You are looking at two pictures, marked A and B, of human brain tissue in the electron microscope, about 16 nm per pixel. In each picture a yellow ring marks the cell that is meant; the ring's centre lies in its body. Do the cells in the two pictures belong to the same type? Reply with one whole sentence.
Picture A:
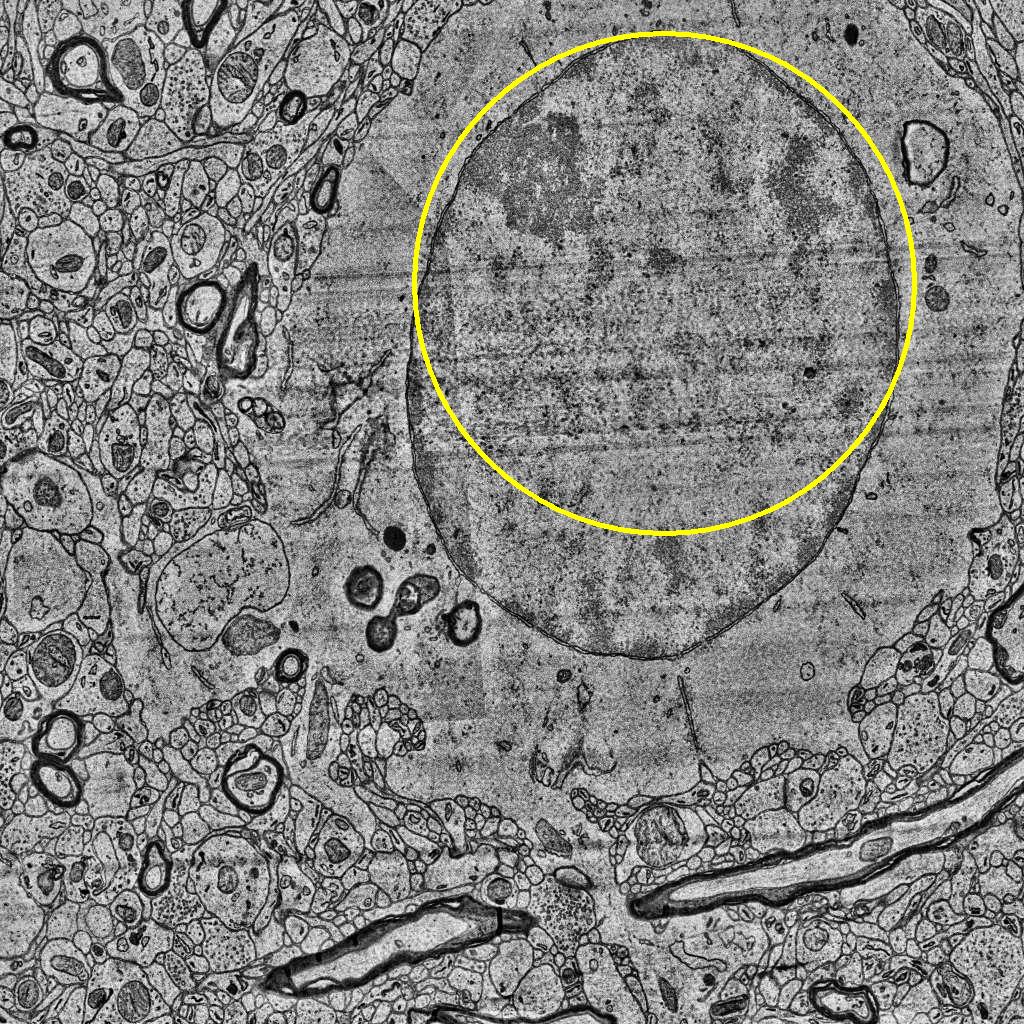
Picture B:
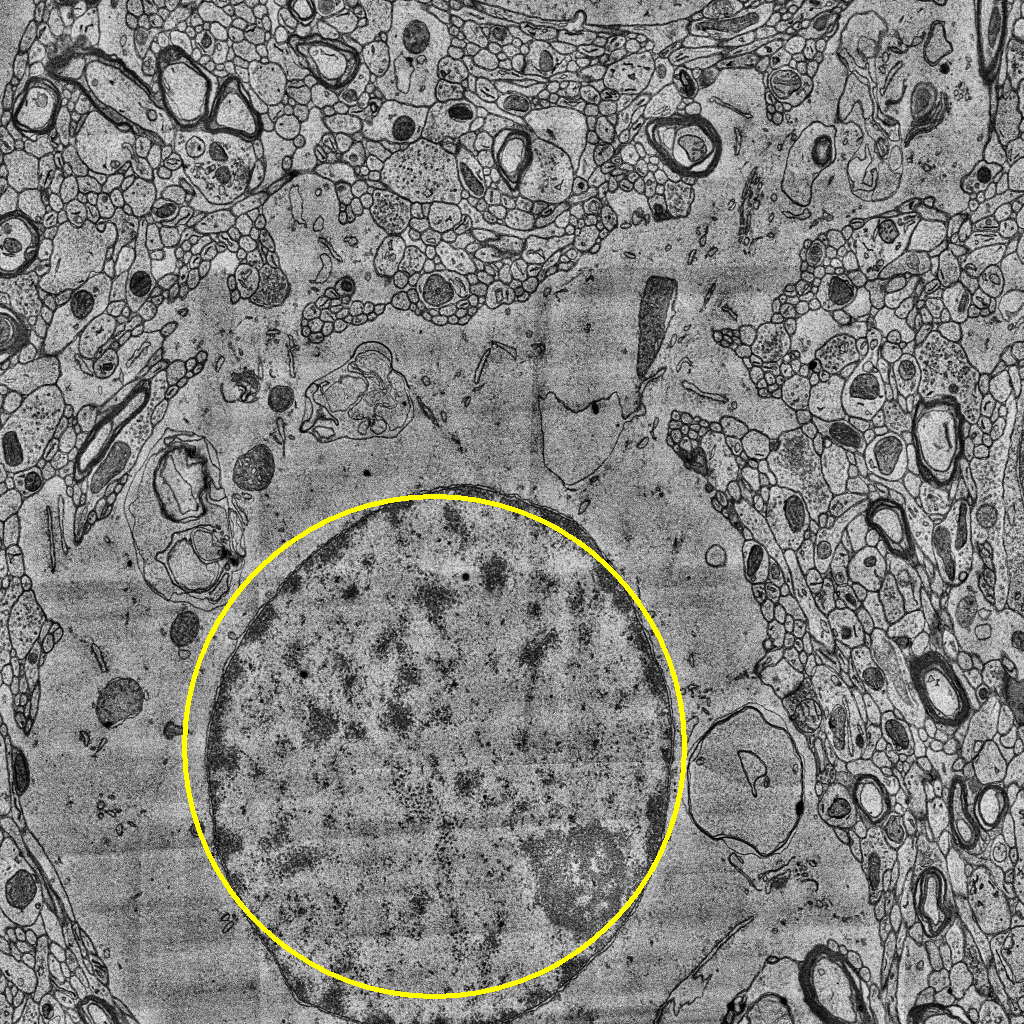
Yes, both cells are astrocytes.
